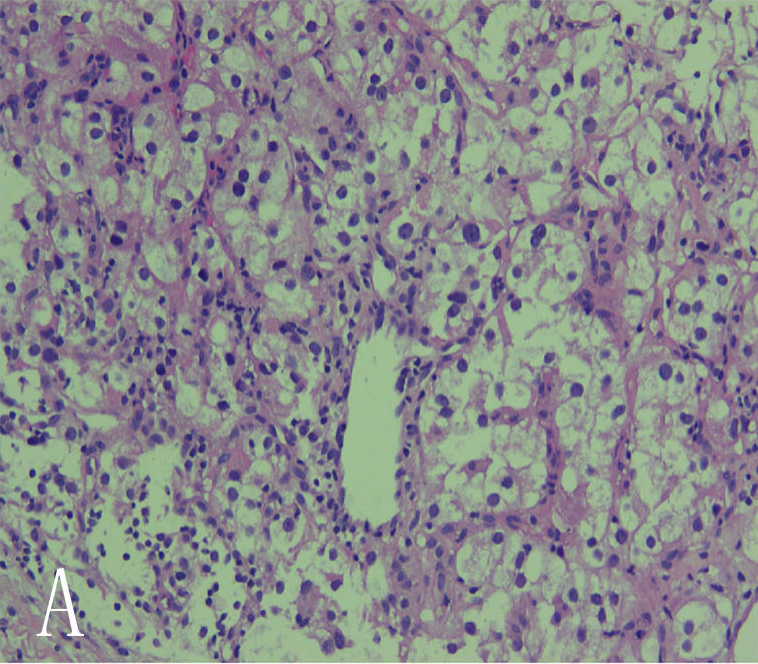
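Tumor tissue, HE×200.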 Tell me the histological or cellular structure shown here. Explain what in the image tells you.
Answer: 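Small thin-walled sinusoidal vessels. Delicate thin pink septa forming a network between cell nests.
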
